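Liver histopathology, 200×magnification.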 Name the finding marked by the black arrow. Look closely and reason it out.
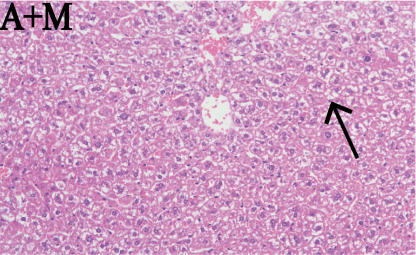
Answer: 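Hepatocyte vacuolar degeneration. Many hepatocytes have pale, clear-spaced cytoplasm.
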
